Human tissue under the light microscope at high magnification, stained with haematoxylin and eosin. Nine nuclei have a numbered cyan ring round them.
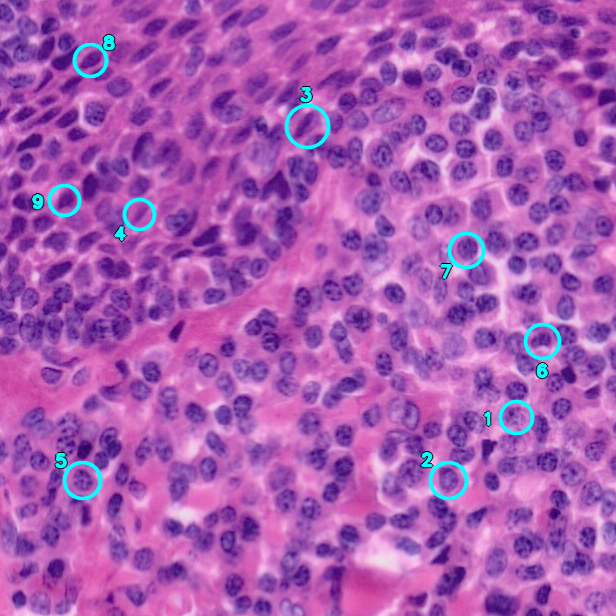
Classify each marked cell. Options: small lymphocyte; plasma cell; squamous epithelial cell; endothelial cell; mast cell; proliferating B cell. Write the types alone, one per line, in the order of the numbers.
plasma cell
plasma cell
squamous epithelial cell
squamous epithelial cell
plasma cell
plasma cell
plasma cell
squamous epithelial cell
squamous epithelial cell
